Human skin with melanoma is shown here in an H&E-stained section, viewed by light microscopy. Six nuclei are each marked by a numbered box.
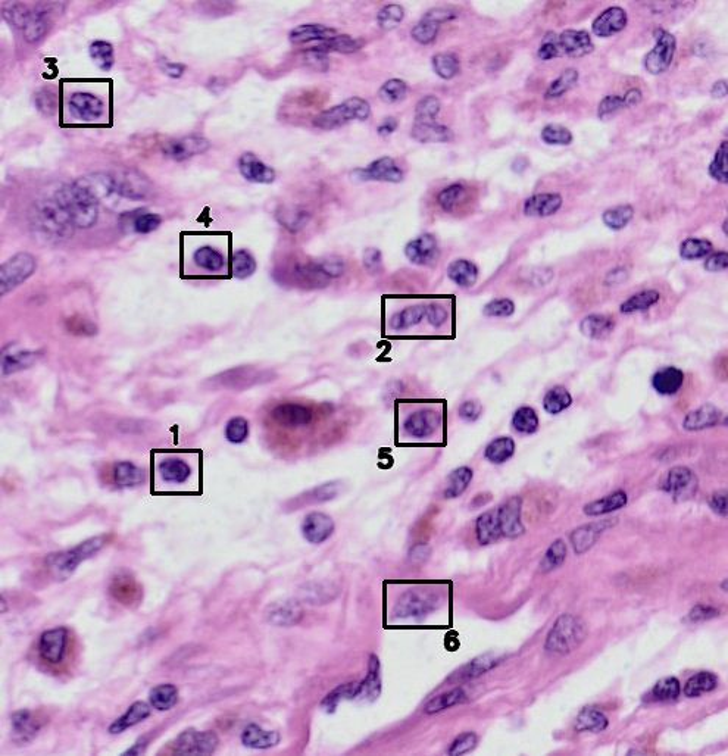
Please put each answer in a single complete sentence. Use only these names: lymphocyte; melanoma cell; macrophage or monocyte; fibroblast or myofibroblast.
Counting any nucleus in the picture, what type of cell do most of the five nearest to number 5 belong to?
Of the five nuclei nearest to number 5, most belong to lymphocytes.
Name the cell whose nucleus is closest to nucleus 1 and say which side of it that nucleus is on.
Lying to the left of nucleus 1, the nearest nucleus is that of a macrophage or monocyte.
